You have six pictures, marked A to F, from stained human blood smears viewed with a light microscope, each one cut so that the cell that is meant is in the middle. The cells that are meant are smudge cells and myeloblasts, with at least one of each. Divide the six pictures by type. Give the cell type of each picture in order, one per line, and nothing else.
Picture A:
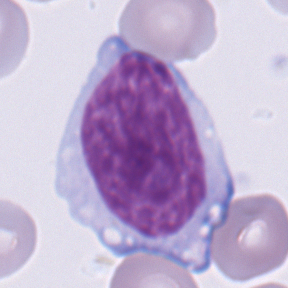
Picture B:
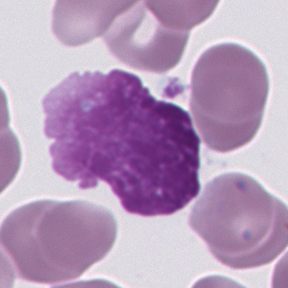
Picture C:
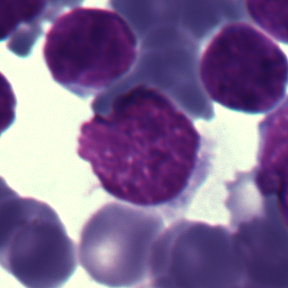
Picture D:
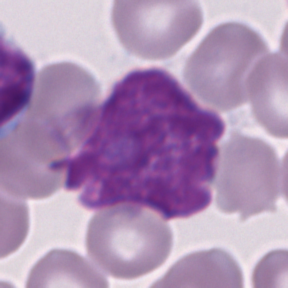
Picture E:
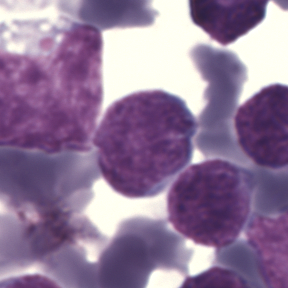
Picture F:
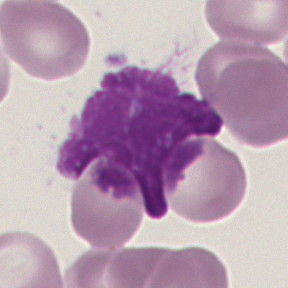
myeloblast
smudge cell
myeloblast
smudge cell
myeloblast
smudge cell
